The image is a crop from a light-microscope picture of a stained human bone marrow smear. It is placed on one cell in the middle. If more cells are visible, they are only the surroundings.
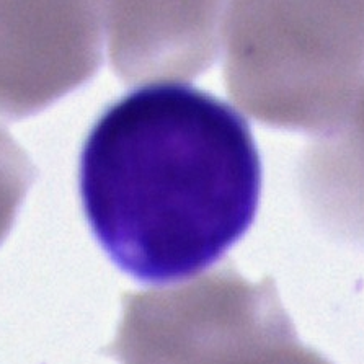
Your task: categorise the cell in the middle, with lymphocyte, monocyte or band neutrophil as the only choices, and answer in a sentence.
The cell of interest, located centrally, is a lymphocyte.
